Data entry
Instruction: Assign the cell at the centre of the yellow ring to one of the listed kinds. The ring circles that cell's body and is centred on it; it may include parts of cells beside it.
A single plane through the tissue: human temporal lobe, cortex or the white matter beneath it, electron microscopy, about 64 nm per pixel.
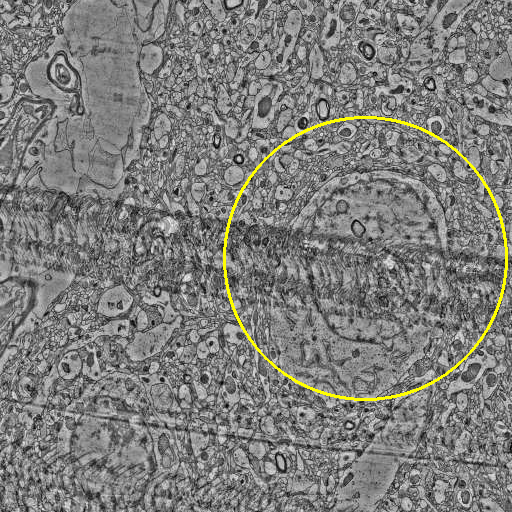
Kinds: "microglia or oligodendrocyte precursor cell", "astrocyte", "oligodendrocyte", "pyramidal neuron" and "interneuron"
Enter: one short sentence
The centre of the ring falls on an interneuron.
